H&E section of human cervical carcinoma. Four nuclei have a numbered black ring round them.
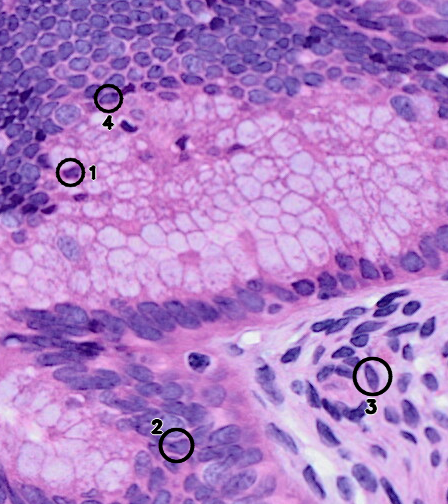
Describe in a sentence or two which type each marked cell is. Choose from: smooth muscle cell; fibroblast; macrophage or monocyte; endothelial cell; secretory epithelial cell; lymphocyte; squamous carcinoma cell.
Cell 1 is a secretory epithelial cell, cell 2 is a secretory epithelial cell, cell 3 is a fibroblast and cell 4 is a secretory epithelial cell.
